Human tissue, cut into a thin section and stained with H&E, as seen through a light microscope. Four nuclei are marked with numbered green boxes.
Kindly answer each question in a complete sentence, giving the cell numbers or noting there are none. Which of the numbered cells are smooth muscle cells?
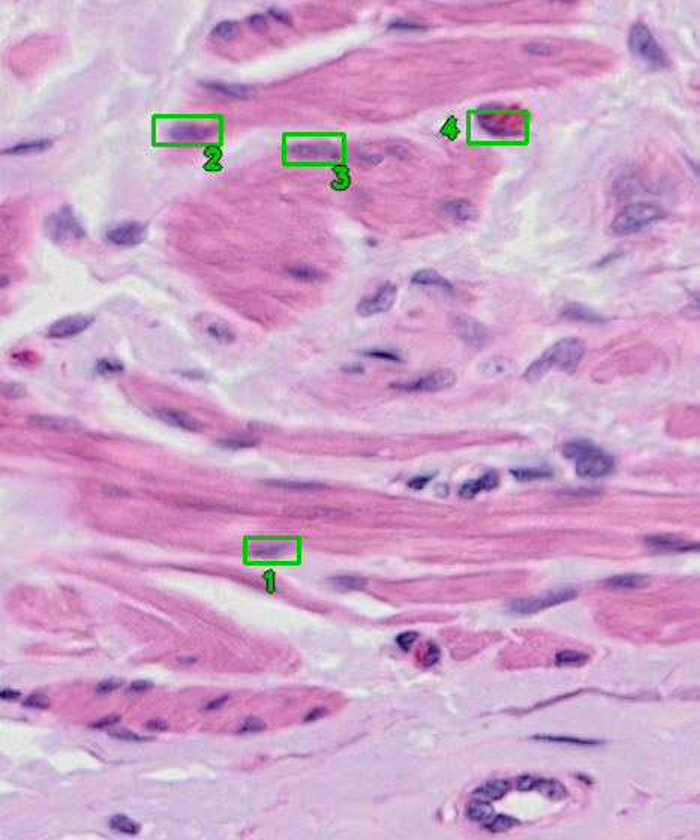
The cells to which the numbers 1, 2 and 3 refer are smooth muscle cells.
